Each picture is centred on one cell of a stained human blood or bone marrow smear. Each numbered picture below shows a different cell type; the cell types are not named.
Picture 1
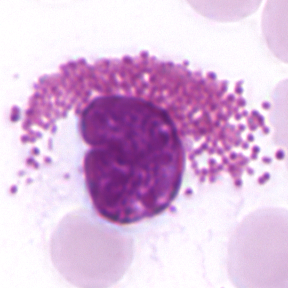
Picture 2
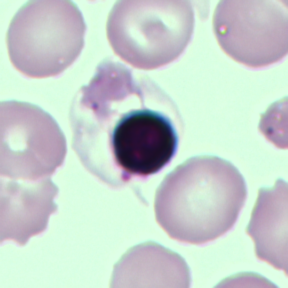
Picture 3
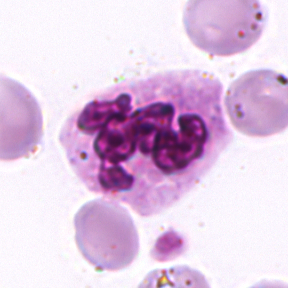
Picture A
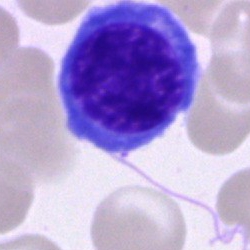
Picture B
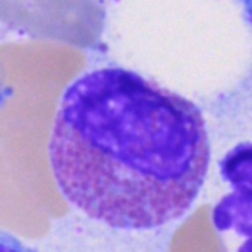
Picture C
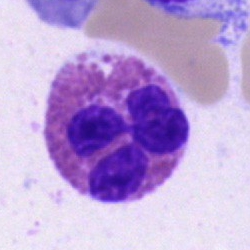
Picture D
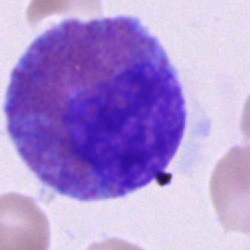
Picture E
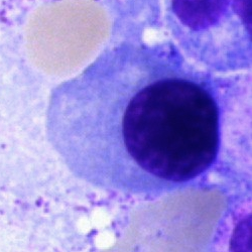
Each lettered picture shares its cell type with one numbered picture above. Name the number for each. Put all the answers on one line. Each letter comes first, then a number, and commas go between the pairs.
A 2, B 1, C 1, D 1, E 2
